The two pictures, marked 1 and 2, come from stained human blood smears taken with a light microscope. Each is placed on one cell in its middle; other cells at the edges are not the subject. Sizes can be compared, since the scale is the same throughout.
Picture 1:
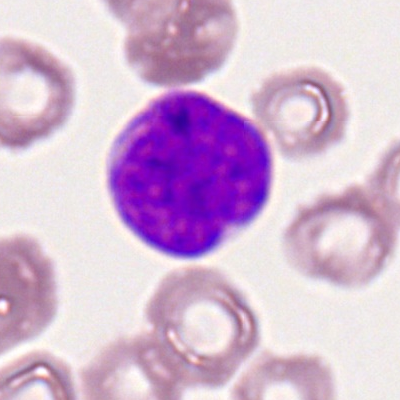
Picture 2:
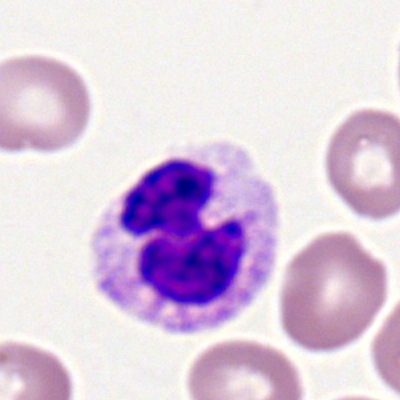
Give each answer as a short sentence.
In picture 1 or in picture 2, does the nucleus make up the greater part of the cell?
It is the cell in picture 1 that is filled more by its nucleus.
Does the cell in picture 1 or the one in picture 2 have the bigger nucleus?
Larger is the nucleus in picture 1, at roughly 1.5 times the area of the other.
